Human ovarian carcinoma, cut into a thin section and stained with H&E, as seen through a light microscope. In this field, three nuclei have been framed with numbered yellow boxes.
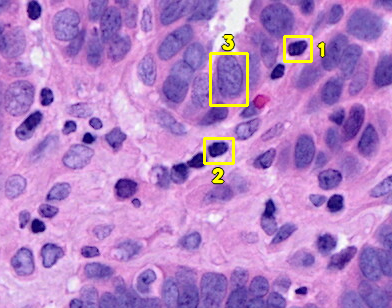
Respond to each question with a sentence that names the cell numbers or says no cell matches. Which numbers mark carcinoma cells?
Of the marked cells, the one numbered 3 is a carcinoma cell and the rest are not.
